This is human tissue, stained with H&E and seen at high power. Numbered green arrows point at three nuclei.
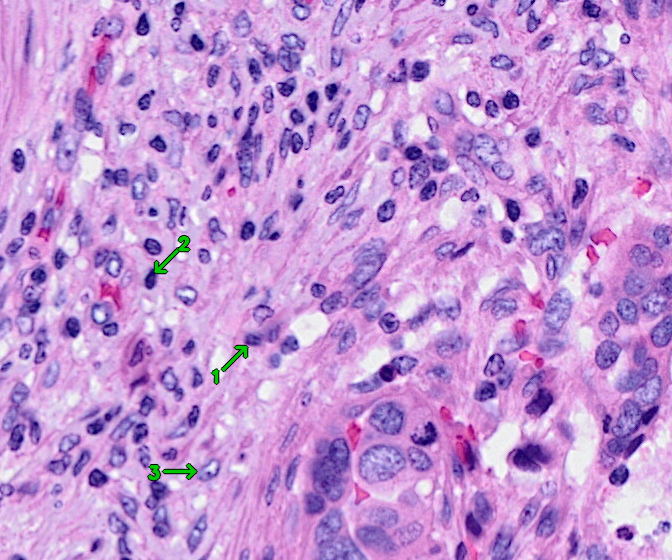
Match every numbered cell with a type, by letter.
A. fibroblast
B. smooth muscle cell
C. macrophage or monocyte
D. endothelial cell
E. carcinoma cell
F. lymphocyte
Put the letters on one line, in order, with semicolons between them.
F; F; A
